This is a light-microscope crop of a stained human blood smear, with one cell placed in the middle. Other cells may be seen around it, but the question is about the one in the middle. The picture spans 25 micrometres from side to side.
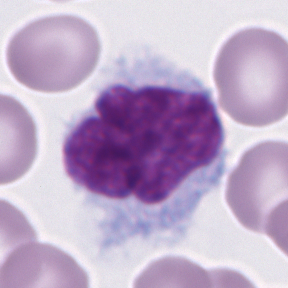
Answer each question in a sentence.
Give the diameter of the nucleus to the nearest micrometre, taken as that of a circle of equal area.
The nucleus is about 11 micrometres across.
